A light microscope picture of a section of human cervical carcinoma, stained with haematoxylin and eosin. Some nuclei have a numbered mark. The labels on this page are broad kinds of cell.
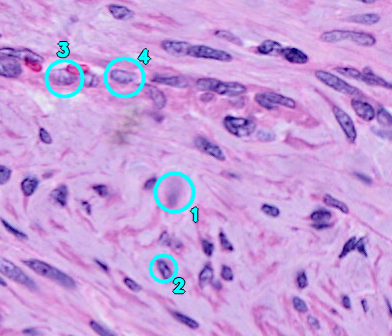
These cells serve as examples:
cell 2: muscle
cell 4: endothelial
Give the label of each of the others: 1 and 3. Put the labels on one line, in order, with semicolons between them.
muscle; endothelial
